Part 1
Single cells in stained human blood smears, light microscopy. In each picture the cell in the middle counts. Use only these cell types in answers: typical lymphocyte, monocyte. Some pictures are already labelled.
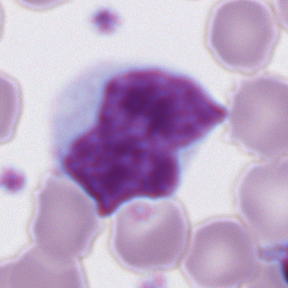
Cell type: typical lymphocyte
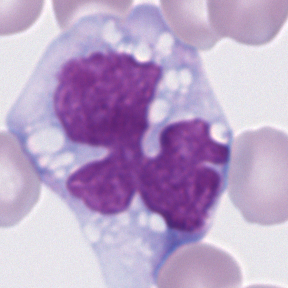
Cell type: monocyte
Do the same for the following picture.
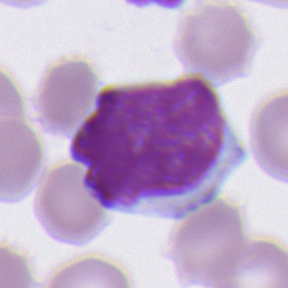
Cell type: typical lymphocyte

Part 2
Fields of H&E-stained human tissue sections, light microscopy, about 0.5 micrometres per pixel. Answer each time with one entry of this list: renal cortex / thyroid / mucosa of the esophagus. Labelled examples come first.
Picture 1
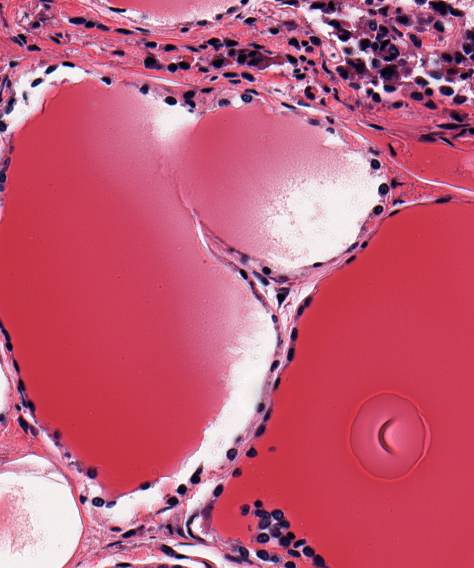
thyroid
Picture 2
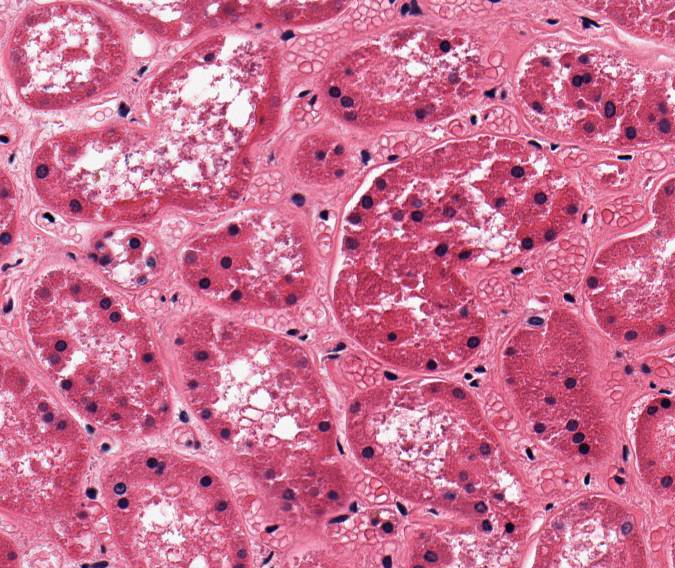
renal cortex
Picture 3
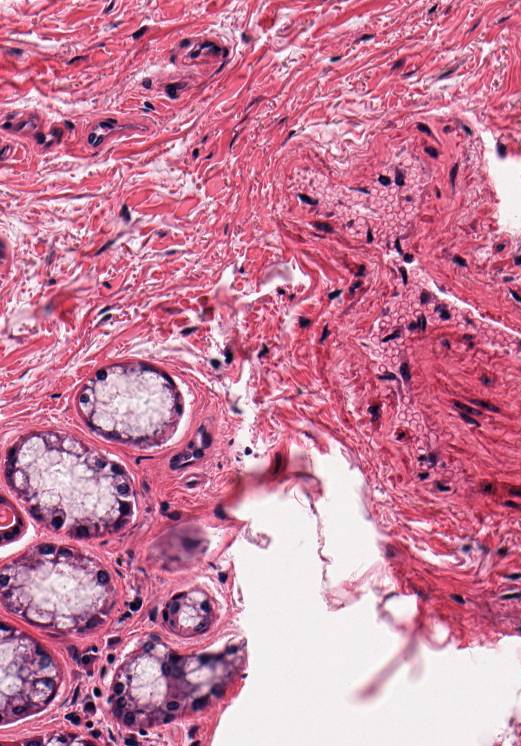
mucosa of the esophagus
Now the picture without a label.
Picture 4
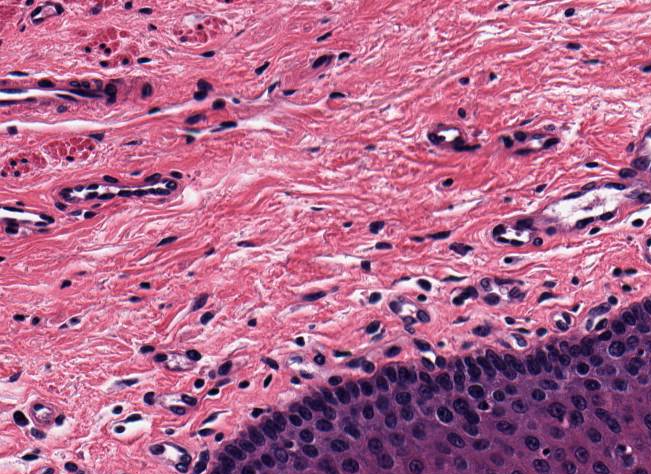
mucosa of the esophagus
